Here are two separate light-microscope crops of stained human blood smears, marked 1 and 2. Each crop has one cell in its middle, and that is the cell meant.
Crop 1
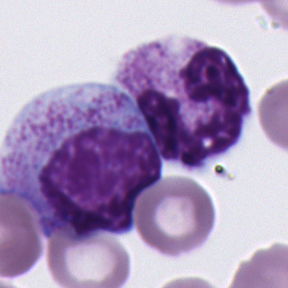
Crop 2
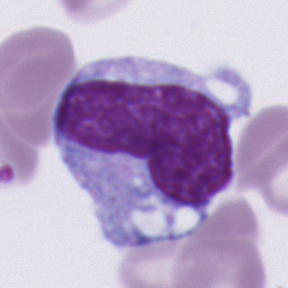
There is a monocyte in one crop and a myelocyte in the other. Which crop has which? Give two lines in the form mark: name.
1: myelocyte
2: monocyte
